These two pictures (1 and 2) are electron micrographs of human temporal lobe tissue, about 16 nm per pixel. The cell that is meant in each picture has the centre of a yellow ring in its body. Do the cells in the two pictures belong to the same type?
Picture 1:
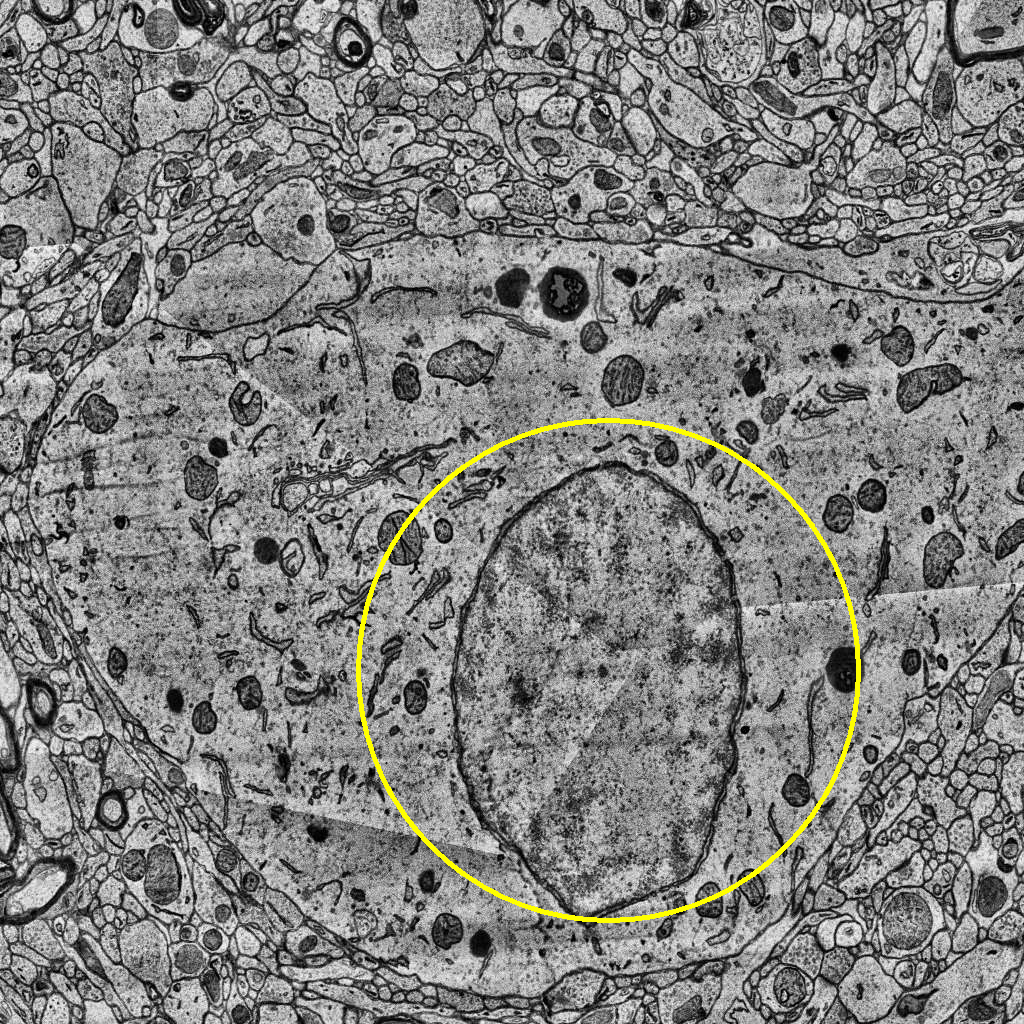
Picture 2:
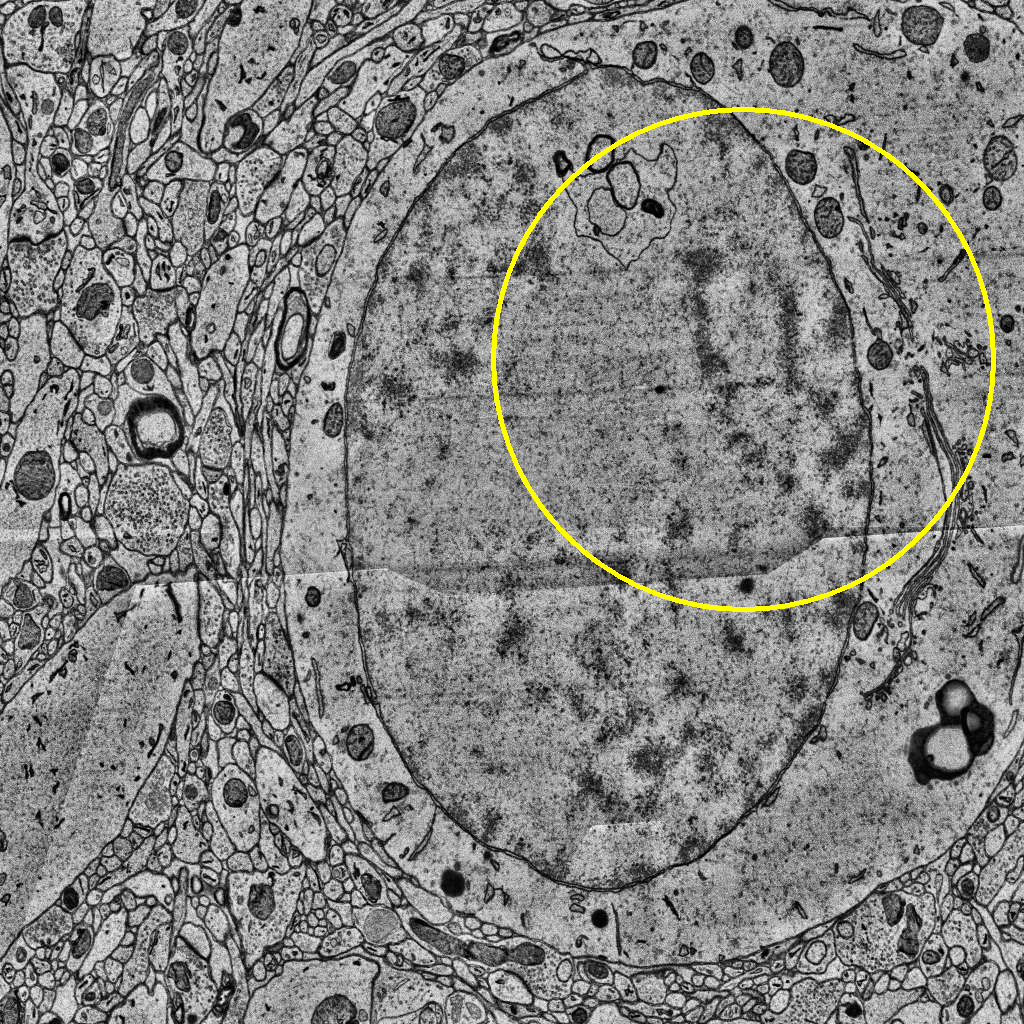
Yes, both are pyramidal neurons.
